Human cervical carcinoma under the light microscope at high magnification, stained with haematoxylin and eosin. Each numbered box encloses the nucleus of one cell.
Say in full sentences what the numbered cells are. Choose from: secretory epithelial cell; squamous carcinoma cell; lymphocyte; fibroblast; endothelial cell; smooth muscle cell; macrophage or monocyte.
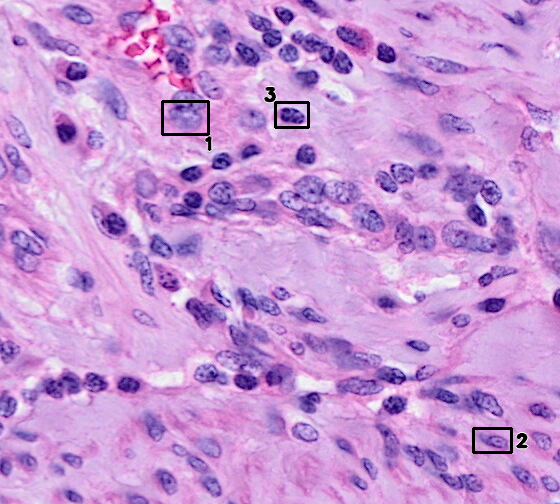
Cell 1 is an endothelial cell, cell 2 is a smooth muscle cell and cell 3 is a lymphocyte.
